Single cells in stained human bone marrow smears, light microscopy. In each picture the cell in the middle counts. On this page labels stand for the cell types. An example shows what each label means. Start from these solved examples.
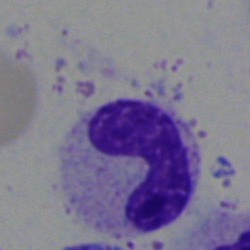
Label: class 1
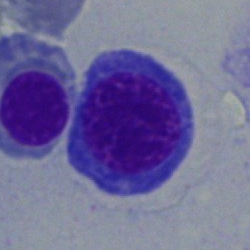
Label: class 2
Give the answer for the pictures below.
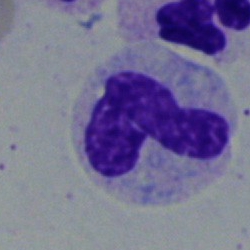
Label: class 1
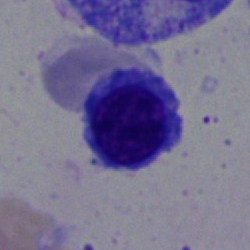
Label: class 2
